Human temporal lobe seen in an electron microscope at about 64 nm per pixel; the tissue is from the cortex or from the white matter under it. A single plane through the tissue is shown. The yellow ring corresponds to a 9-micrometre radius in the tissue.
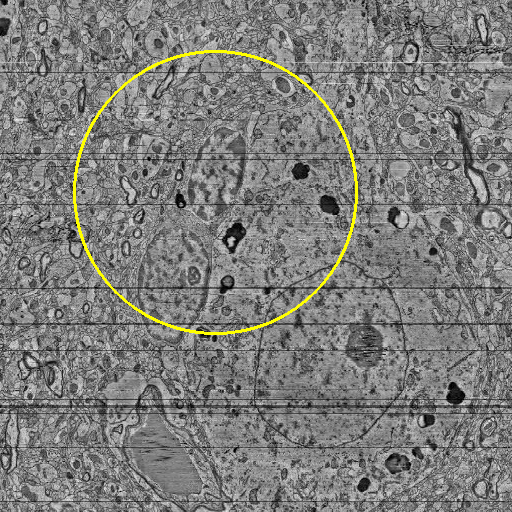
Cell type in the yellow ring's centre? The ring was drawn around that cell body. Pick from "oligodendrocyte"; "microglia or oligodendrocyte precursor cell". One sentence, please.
The ringed cell body is that of a microglial cell or oligodendrocyte precursor cell.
